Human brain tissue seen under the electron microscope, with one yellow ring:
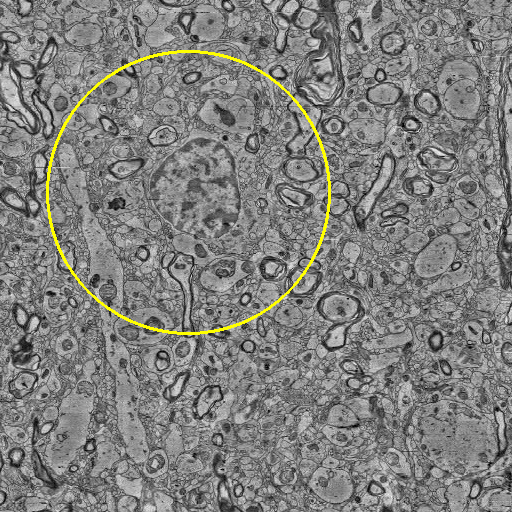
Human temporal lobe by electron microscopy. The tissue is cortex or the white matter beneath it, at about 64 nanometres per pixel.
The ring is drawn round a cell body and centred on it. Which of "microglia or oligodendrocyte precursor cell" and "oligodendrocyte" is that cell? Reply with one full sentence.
The picture shows a microglial cell or oligodendrocyte precursor cell at the very centre of the yellow ring.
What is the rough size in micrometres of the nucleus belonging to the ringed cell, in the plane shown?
The nucleus works out at approximately 7 by 6 micrometres in this plane.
